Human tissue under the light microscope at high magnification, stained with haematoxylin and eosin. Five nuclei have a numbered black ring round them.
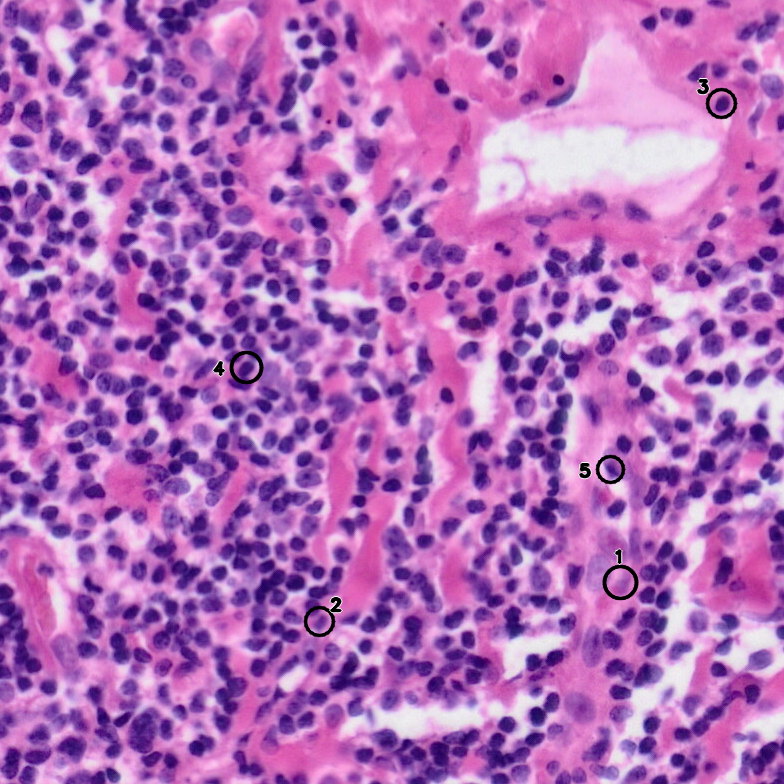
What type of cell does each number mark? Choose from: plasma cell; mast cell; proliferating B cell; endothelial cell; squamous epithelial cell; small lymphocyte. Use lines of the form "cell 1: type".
cell 1: endothelial cell
cell 2: endothelial cell
cell 3: mast cell
cell 4: small lymphocyte
cell 5: endothelial cell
